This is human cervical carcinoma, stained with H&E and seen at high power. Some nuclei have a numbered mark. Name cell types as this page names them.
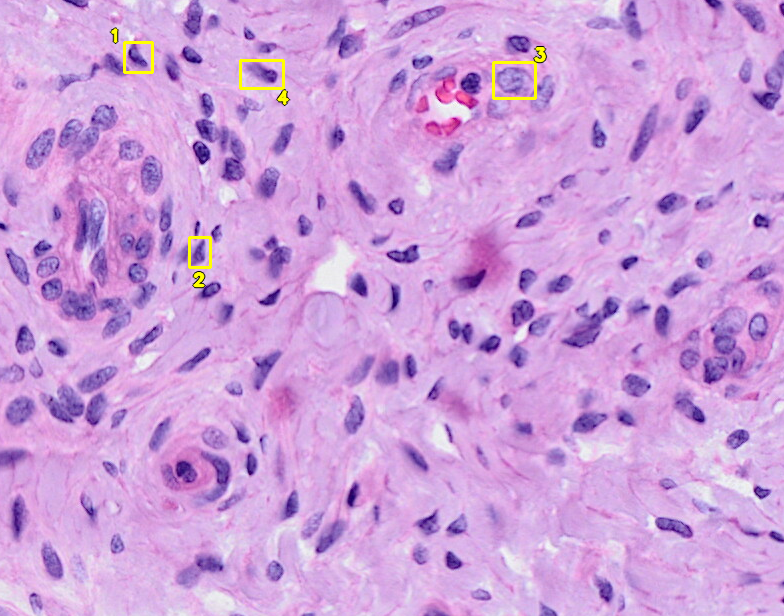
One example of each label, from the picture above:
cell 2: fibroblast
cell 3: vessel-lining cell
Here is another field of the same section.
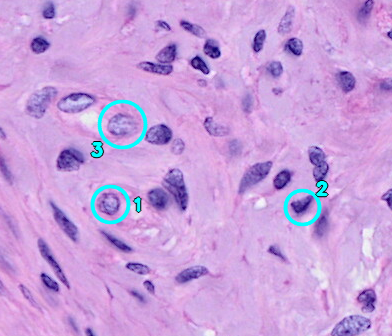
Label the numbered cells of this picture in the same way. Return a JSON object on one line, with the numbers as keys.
{"1": "vessel-lining cell", "2": "fibroblast", "3": "vessel-lining cell"}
